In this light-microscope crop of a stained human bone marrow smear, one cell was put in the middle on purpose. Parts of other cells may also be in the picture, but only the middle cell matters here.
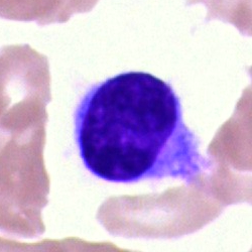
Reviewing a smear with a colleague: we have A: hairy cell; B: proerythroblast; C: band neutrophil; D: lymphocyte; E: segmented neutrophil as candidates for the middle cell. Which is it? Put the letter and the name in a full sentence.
Option A is to be chosen, as the central cell is a hairy cell.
